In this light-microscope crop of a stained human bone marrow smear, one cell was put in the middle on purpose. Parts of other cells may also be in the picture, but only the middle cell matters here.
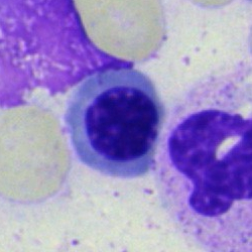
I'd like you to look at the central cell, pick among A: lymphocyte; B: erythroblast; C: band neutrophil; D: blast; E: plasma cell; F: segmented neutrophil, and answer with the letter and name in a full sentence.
What sits in the middle of the crop is an erythroblast, and option B is correct.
